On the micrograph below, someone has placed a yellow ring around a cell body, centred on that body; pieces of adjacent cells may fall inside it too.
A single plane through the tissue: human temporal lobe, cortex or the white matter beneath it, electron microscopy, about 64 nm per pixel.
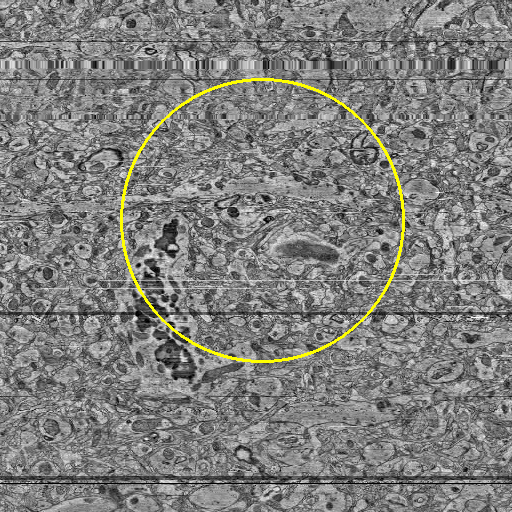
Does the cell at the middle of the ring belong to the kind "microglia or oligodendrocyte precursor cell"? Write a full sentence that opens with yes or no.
Yes, the cell lying at the ring's centre on the micrograph is that kind.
